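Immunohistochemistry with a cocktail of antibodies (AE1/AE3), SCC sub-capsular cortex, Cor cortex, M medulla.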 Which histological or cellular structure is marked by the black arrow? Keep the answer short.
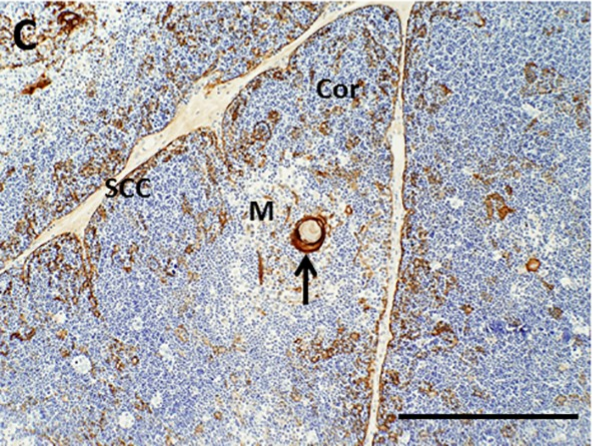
Hassall body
